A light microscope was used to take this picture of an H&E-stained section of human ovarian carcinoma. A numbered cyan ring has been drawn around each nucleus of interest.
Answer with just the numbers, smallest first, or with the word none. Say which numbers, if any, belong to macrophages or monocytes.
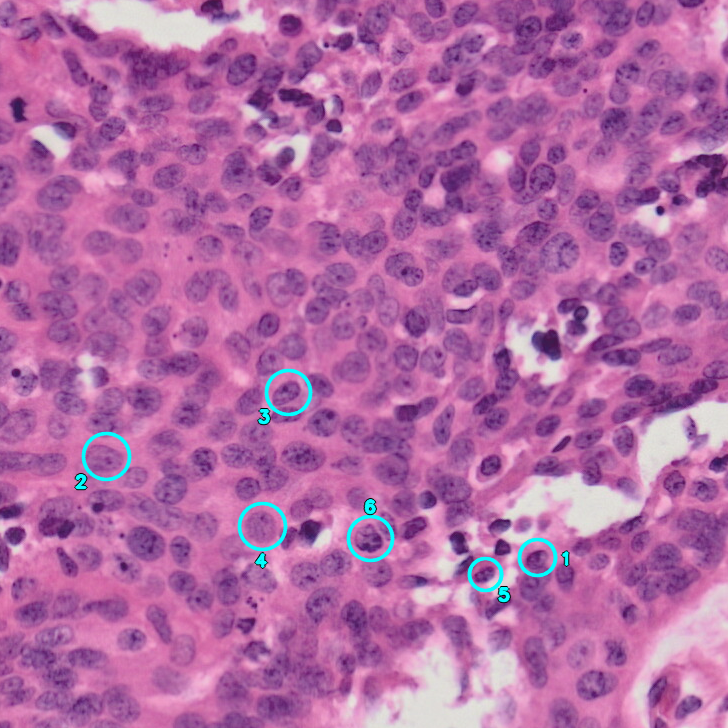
1, 3, 5, 6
